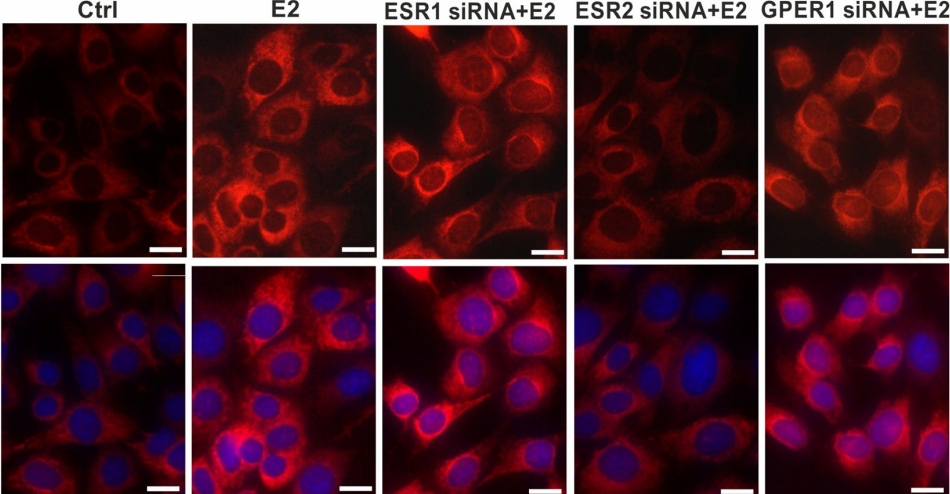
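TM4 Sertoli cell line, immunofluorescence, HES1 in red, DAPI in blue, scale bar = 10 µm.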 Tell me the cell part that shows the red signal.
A: cell cytoplasm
